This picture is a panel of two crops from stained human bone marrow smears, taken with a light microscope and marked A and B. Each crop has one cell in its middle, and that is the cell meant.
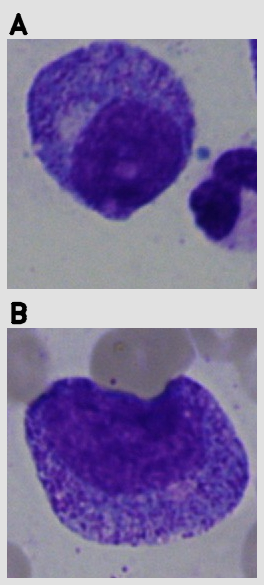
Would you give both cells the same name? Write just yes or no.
yes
